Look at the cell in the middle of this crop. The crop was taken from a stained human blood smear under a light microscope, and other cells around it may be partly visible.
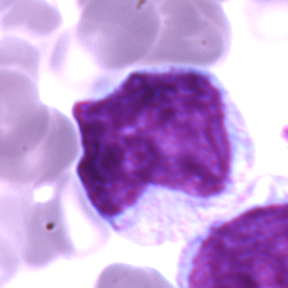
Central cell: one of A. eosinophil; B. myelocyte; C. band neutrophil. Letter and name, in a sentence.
The cell right in the middle is a band neutrophil, so option C is the one.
